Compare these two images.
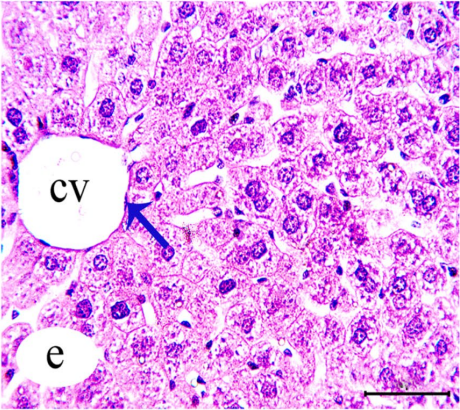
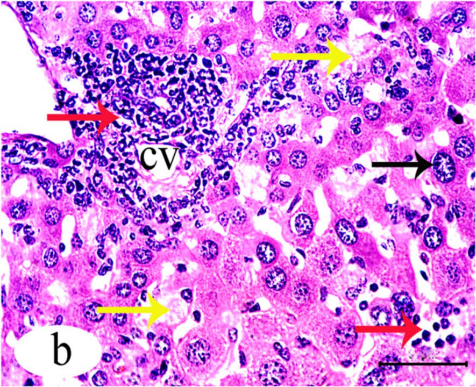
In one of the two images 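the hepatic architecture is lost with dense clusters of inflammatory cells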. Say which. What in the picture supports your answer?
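First image: hepatocytes form orderly cords around a clean central vein with no cell clusters. Second image: a dense mass of small dark nuclei surrounds the vein and hepatocyte cords are disordered with pale spaces.
Answer: the second image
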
